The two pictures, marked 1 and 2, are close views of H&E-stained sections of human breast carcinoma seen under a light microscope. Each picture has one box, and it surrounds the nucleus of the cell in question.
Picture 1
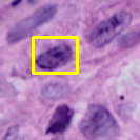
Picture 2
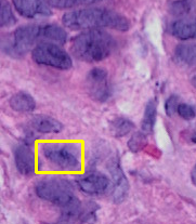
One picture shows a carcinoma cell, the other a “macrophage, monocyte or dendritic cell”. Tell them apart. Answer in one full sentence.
Picture 1 shows a “macrophage, monocyte or dendritic cell” and picture 2 shows a carcinoma cell.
